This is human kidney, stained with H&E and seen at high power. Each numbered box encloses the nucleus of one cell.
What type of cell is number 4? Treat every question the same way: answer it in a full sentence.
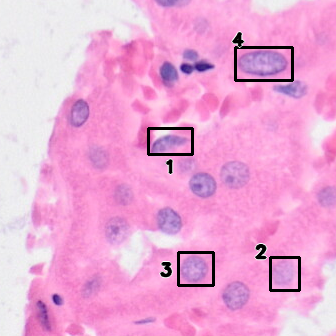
Cell 4, as marked in the section, is a proximal tubule cell.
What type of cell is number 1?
The numeral 1 marks an endothelial cell in this section.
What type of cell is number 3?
The one labeled 3 is a proximal tubule cell, to put it simply.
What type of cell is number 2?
Cell 2, among those numbered, is a proximal tubule cell.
